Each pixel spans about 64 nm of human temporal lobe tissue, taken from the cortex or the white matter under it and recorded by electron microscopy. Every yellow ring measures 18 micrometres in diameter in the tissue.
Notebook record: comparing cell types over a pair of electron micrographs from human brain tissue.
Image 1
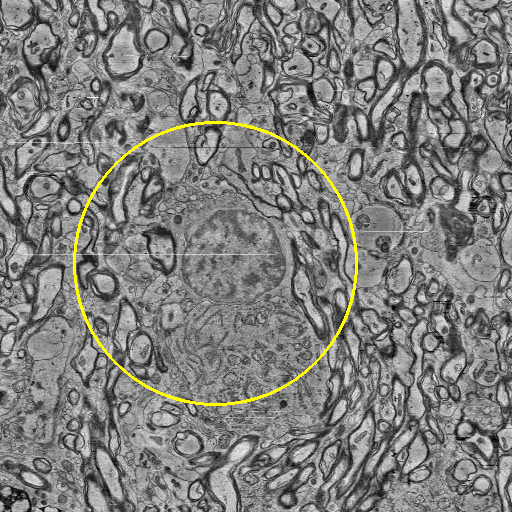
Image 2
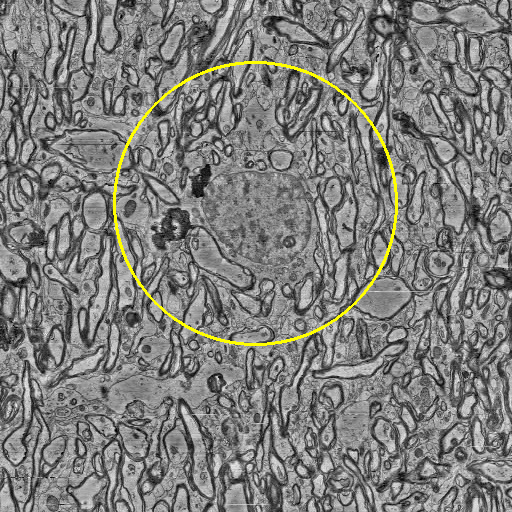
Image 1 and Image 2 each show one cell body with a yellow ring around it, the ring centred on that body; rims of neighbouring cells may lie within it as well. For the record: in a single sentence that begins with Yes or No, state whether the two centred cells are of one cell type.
Yes, one cell type is shared by the centred cells of Image 1 and Image 2.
